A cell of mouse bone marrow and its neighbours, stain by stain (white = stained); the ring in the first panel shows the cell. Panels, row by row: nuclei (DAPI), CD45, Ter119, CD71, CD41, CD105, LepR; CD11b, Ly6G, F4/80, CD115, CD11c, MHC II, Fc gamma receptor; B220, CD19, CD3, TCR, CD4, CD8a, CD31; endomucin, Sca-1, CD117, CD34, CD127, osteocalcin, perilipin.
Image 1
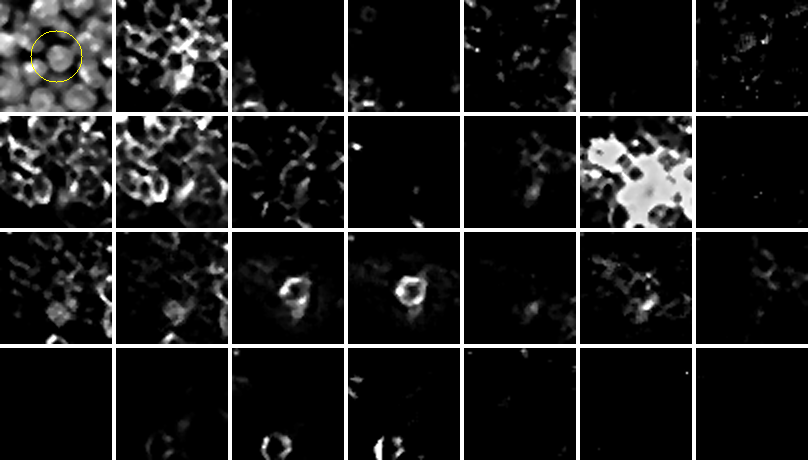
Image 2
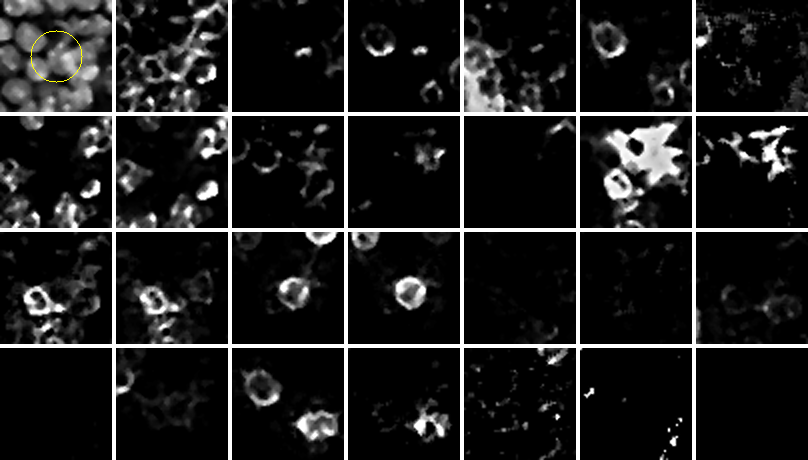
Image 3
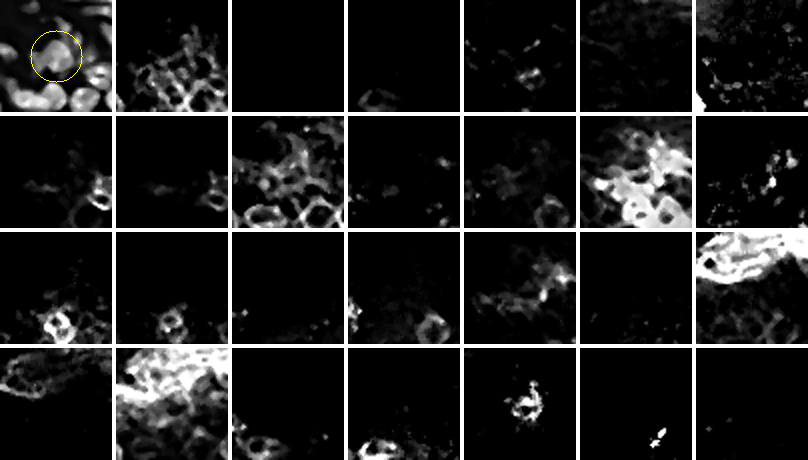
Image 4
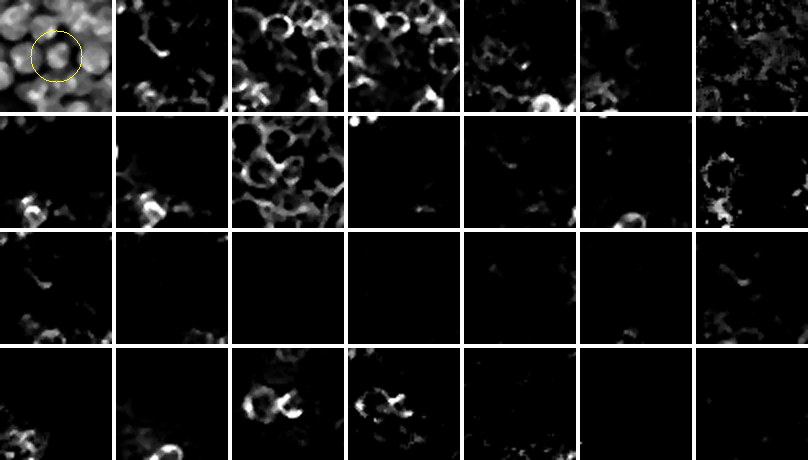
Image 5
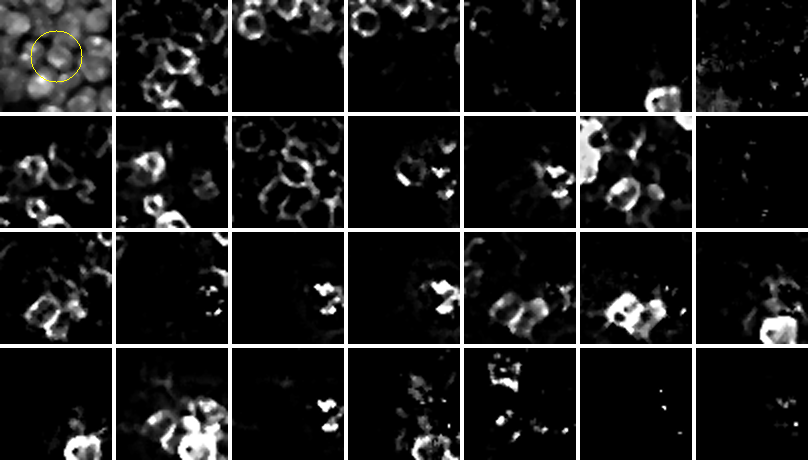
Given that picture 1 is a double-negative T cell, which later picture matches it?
2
